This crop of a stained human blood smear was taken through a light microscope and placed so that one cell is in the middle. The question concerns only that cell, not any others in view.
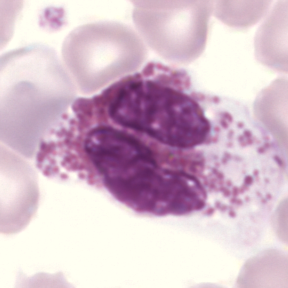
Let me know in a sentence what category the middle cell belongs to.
Here the cell in the middle is an eosinophil.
